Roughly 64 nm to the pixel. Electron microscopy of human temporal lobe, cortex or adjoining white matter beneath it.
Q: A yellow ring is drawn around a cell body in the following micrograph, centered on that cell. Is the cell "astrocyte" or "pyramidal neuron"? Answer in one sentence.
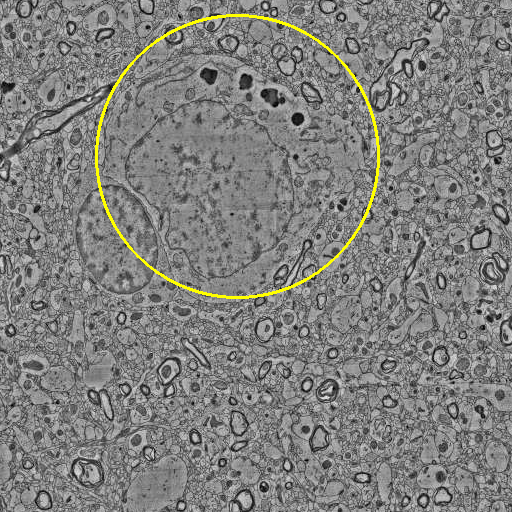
The cell in the center of the ring is a pyramidal neuron.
